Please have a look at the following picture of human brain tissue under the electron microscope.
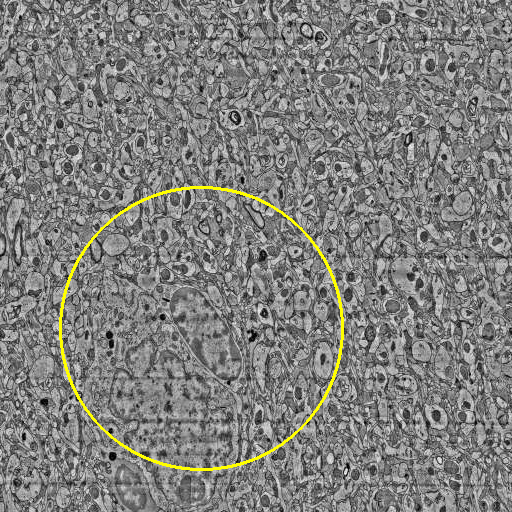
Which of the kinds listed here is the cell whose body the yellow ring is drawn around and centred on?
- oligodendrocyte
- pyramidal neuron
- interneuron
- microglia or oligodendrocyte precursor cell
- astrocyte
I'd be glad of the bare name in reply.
microglia or oligodendrocyte precursor cell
